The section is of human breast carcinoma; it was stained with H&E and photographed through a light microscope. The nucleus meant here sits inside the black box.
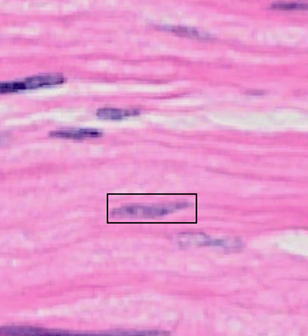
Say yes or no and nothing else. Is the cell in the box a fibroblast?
yes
